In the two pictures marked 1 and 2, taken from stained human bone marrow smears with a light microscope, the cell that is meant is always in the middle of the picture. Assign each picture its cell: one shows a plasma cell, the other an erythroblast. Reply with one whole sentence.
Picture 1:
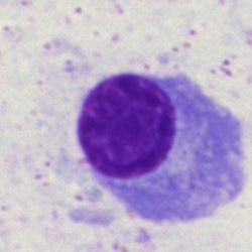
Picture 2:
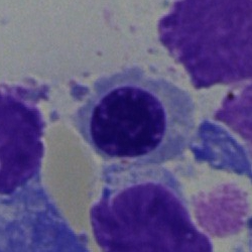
Picture 2 shows an erythroblast, while picture 1 shows a plasma cell.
